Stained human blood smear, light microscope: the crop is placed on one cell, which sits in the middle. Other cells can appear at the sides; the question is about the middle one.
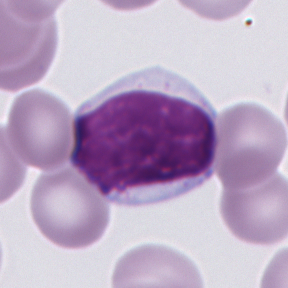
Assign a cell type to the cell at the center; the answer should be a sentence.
In short, the cell at the center is a large granular lymphocyte.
